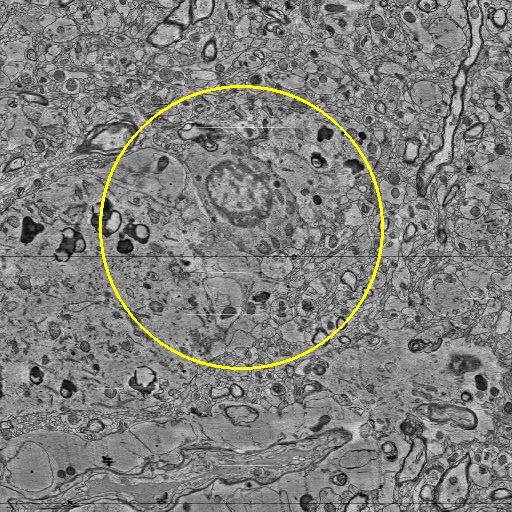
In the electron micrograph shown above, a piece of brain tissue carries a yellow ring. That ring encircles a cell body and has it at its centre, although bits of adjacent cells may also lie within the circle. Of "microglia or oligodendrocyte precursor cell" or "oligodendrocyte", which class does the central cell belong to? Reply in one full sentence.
The cell body at the centre of the yellow ring belongs to an oligodendrocyte.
